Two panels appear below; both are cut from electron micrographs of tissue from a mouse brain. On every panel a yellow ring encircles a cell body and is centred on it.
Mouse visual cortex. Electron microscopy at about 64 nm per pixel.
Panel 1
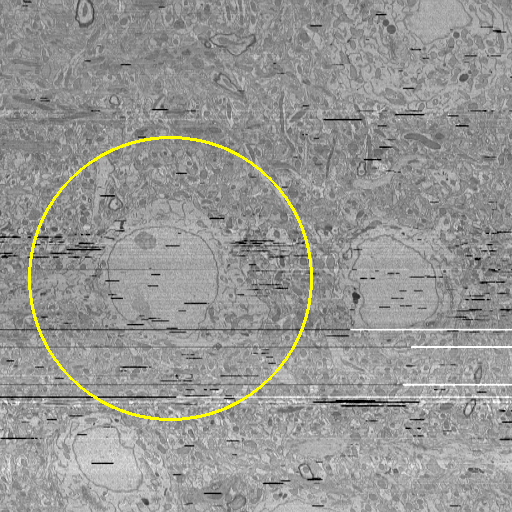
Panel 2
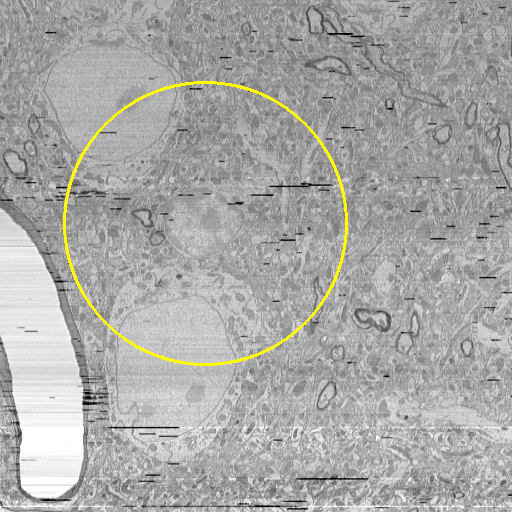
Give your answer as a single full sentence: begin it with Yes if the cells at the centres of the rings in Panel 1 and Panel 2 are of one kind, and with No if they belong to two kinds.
No, the cells in the middle of the rings in Panels 1 and 2 are of two kinds.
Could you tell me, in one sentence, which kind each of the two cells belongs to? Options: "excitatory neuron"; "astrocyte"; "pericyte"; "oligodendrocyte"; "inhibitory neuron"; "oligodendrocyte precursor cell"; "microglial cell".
At the centre of the first ring sits an excitatory neuron, and at the centre of the second sits an oligodendrocyte.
